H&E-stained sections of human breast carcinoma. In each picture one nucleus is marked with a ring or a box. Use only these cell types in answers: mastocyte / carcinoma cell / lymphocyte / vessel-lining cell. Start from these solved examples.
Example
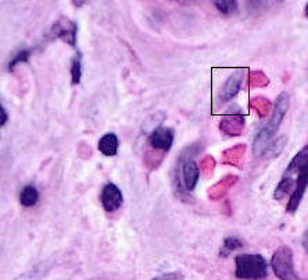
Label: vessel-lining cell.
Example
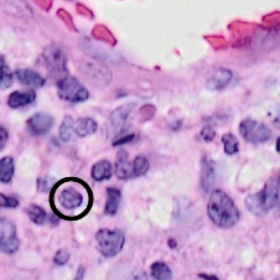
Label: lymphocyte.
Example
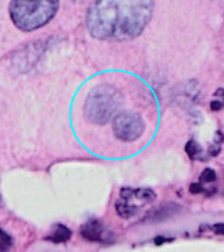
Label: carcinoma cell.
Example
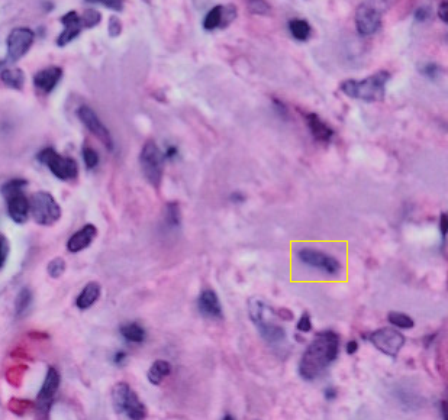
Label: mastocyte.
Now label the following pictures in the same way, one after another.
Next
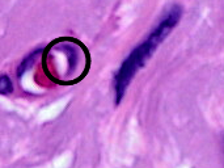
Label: vessel-lining cell.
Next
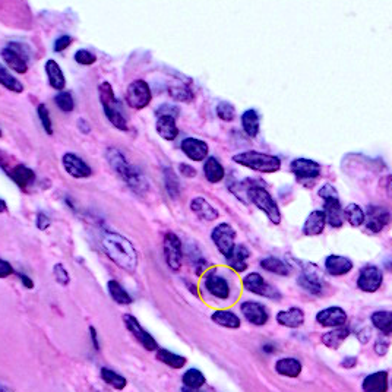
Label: lymphocyte.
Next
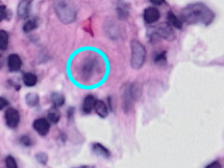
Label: vessel-lining cell.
